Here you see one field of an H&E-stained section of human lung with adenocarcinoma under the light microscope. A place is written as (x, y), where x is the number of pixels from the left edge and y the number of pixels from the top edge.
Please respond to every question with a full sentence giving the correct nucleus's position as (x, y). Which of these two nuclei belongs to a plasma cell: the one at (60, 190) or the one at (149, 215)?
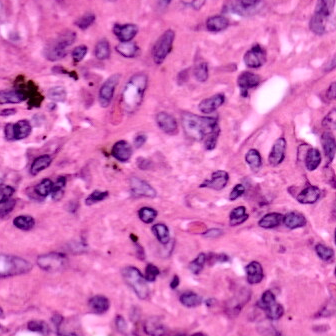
The nucleus at (60, 190) is housed in a plasma cell.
